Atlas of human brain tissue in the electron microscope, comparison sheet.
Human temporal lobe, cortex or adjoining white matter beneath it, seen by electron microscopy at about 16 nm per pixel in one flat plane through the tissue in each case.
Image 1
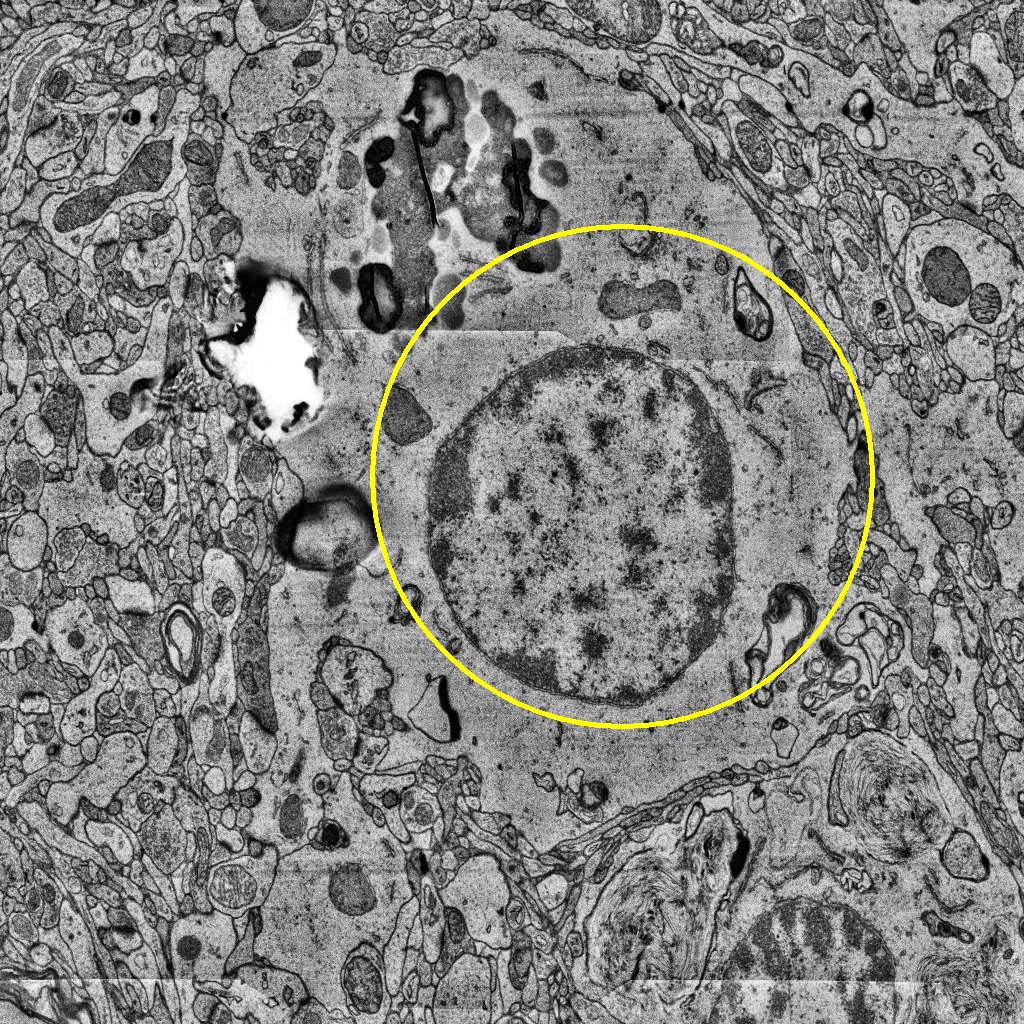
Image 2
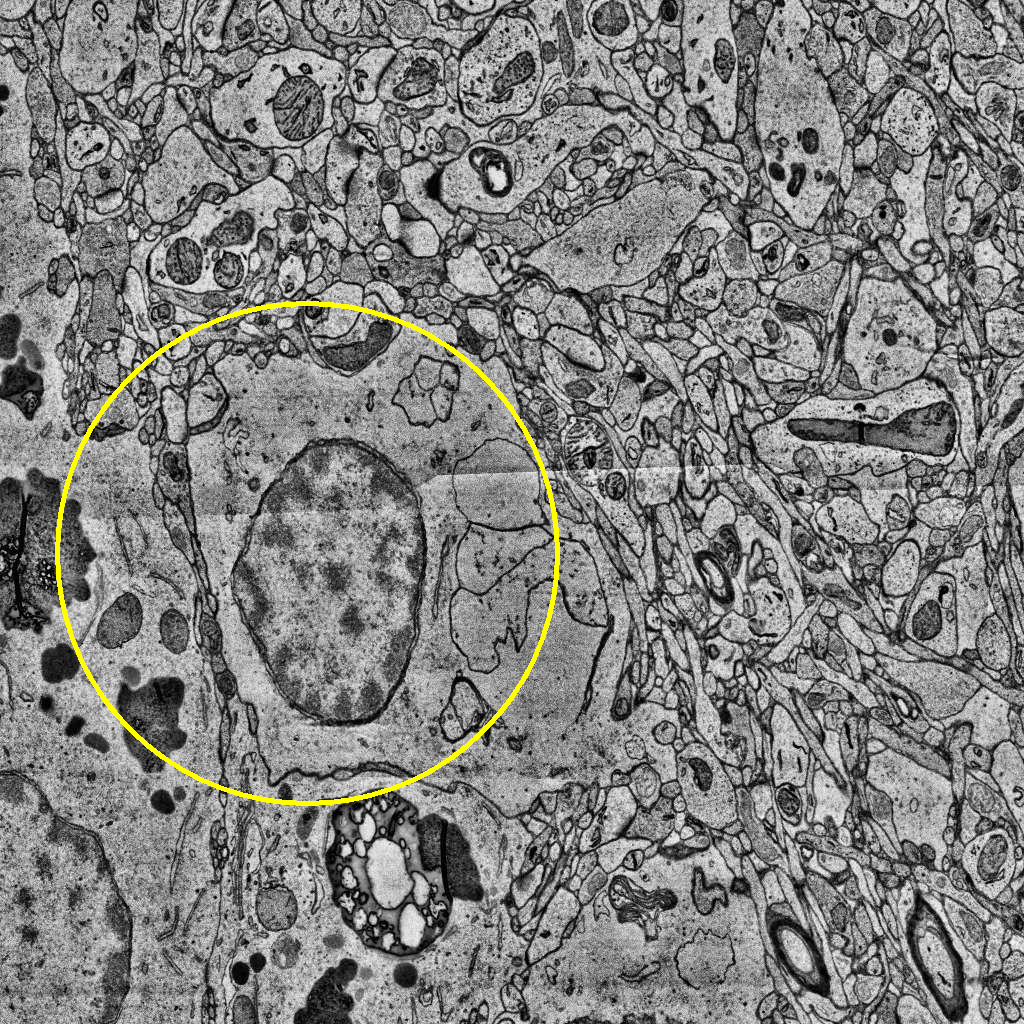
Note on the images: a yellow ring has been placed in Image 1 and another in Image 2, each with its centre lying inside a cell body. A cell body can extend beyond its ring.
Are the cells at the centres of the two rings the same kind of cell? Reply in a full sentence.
Yes, both cells are of the same kind.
